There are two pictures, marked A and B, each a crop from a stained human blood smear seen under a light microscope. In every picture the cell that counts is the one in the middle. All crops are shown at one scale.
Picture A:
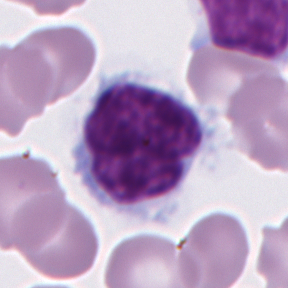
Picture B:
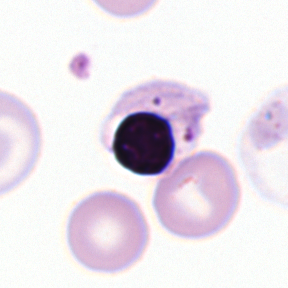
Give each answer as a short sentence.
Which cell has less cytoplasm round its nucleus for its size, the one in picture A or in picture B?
In picture A the nucleus takes up the larger part of its cell.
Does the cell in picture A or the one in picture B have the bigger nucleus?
The nucleus in picture A is larger, with about 3 times the area of the one in picture B.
